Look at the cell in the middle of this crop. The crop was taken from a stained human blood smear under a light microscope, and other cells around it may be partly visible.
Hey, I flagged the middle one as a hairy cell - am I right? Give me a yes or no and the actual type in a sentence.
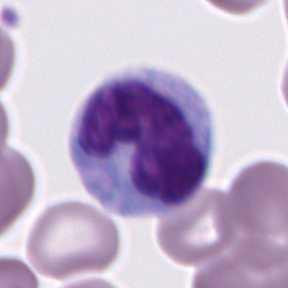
No, the centre cell counts as a monocyte, not as a hairy cell.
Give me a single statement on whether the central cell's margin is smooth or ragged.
Smooth edges only, with no spikes, blebs, or other projections.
